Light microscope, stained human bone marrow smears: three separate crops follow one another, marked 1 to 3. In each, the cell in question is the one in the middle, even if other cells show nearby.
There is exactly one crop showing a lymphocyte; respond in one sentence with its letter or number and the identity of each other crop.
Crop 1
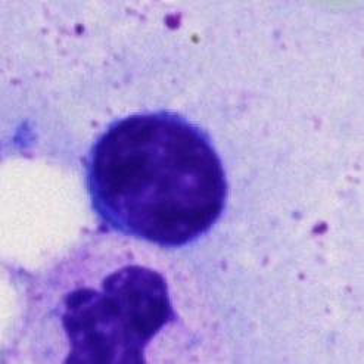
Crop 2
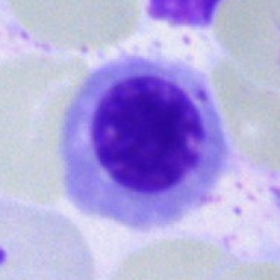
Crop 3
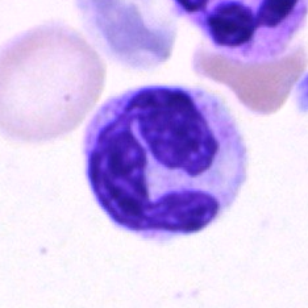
Crop 1 presents a lymphocyte, while crop 2 is an erythroblast and crop 3 is a segmented neutrophil.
